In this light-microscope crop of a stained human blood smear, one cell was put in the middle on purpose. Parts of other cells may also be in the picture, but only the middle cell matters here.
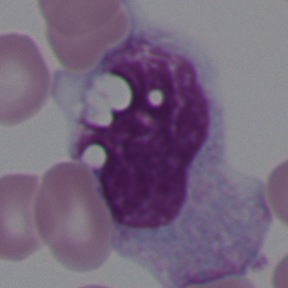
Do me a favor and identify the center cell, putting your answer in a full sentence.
The crop's centre is taken up by a monocyte.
